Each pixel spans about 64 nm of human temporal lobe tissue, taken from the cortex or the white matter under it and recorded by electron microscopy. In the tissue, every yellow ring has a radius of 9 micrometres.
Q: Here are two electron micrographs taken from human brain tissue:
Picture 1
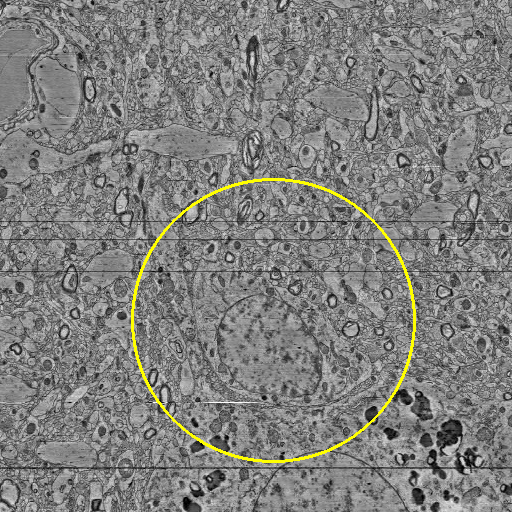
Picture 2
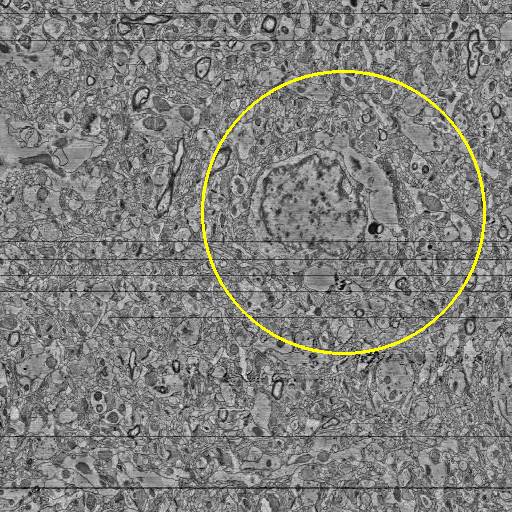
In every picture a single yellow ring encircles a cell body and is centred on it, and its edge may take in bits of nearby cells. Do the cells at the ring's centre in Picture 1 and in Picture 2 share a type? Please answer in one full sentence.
Yes, the cells at the ring's centre in Picture 1 and Picture 2 share a type.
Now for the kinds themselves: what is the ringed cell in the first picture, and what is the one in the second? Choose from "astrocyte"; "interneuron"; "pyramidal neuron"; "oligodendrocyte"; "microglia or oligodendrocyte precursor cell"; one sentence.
The ring centre holds an interneuron in each of the two pictures.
